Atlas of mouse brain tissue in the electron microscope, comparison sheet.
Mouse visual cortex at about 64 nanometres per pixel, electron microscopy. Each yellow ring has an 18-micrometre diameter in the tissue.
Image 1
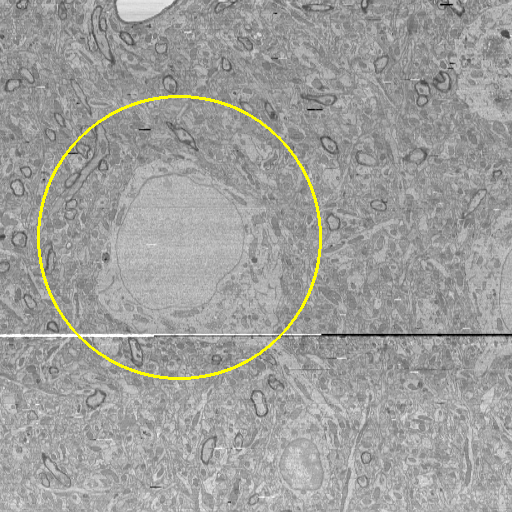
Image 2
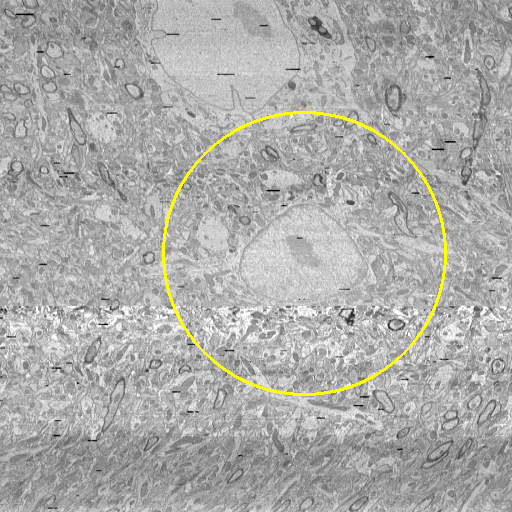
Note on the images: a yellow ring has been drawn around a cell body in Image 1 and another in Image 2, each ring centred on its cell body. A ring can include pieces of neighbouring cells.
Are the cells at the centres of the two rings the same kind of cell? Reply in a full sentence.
No, the two cells are of two kinds.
